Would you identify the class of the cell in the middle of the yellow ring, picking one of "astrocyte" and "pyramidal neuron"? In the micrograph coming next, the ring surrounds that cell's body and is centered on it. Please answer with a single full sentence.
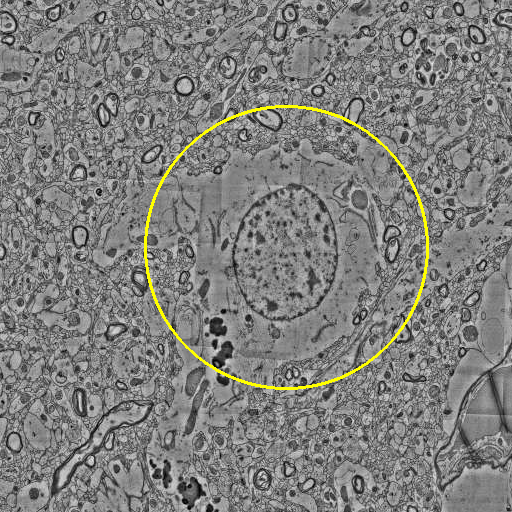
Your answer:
In the micrograph, it is an astrocyte whose body lies at the ring's center.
